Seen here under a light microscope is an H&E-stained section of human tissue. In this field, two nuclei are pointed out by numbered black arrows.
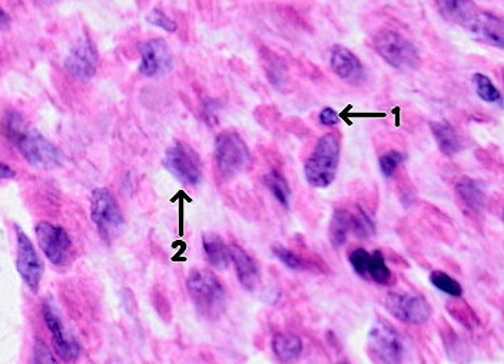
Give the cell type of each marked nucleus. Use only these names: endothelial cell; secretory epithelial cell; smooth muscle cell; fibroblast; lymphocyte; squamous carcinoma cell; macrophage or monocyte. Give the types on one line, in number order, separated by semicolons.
lymphocyte; fibroblast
